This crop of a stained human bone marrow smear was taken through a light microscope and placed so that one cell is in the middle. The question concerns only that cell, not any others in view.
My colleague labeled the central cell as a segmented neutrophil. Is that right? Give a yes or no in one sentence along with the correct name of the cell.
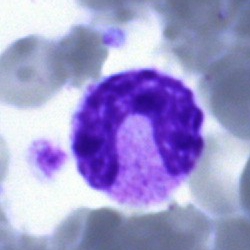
No, it is not a segmented neutrophil that lies in the middle but a band neutrophil.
